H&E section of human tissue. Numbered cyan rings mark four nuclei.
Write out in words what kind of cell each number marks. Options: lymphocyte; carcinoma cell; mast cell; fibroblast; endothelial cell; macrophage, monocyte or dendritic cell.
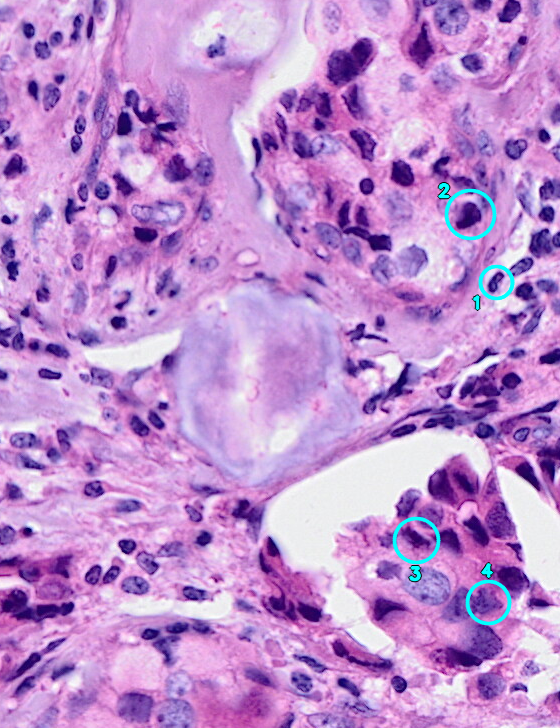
Cell 1 is a lymphocyte. Cells 2, 3 and 4 are carcinoma cells.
